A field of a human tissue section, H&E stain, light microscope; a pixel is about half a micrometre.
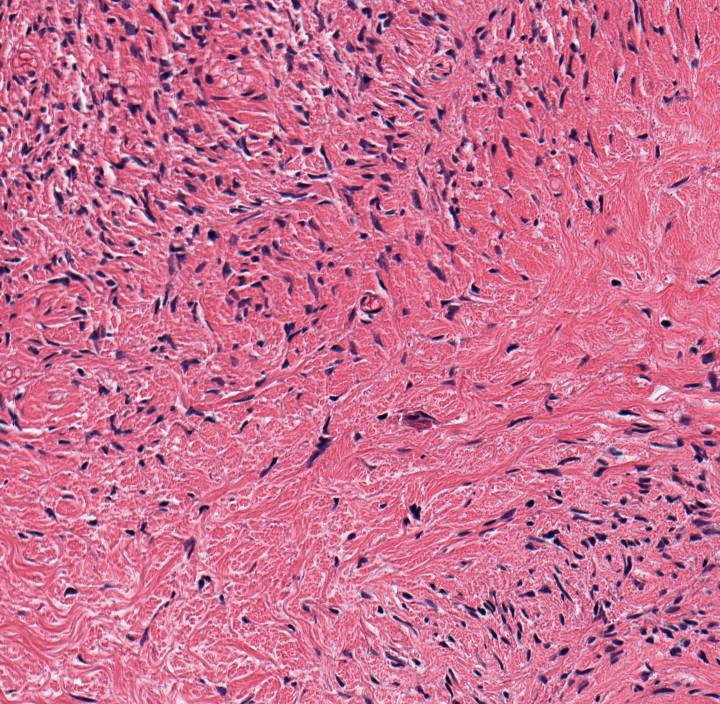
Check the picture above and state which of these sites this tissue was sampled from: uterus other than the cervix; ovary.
ovary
